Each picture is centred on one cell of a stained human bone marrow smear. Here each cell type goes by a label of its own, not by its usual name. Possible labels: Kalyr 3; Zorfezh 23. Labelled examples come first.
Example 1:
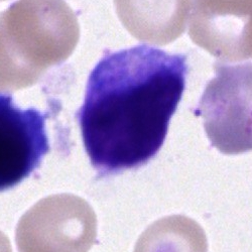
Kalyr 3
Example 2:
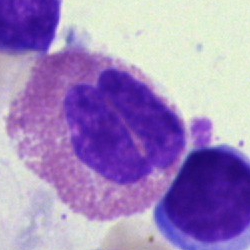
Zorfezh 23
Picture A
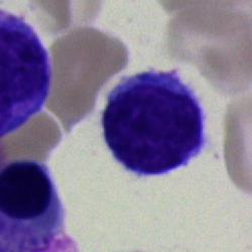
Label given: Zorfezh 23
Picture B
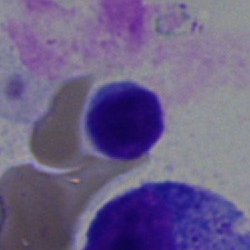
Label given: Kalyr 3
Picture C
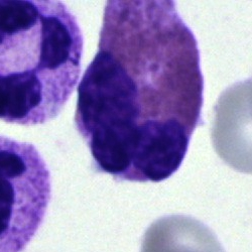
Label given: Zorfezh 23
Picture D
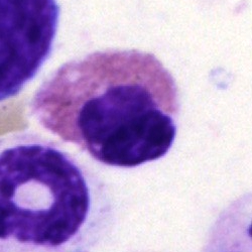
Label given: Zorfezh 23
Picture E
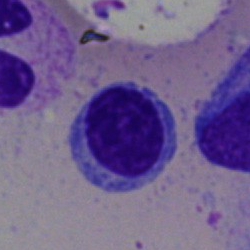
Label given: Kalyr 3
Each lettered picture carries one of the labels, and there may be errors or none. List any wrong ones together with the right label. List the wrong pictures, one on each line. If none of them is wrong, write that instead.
A: not Zorfezh 23 but Kalyr 3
